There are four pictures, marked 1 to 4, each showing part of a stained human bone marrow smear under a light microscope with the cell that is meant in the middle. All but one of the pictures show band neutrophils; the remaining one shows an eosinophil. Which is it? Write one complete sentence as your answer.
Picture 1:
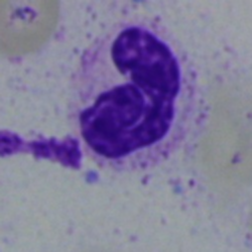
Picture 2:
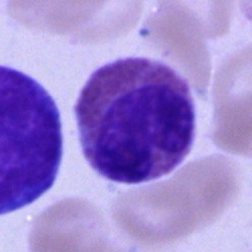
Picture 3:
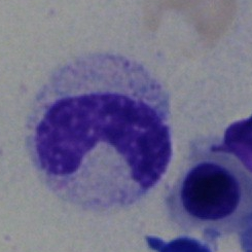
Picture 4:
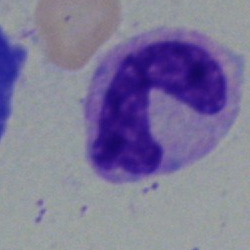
The cell in picture 2 is the eosinophil.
